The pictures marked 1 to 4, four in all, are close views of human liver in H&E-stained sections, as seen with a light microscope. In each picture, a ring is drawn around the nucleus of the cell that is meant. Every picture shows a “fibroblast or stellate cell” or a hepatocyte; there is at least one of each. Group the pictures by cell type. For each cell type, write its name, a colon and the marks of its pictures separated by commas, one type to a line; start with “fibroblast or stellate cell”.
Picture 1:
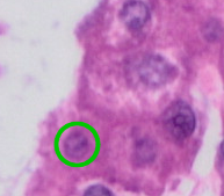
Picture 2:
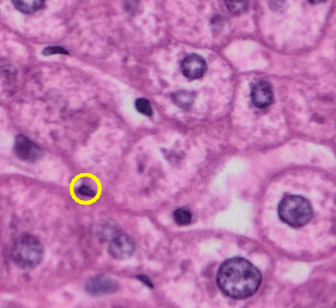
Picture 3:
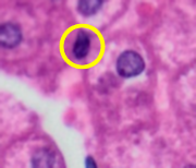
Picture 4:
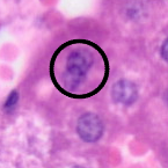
fibroblast or stellate cell: 2, 3
hepatocyte: 1, 4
